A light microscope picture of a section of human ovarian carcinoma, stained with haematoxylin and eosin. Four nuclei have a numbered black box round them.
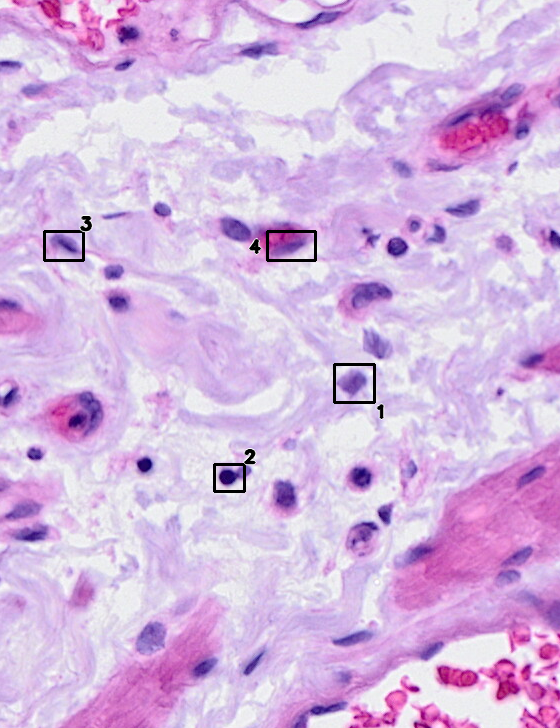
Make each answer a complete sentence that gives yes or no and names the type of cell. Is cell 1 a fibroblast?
Yes, in this section the cell with number 1 is a fibroblast.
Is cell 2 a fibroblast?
No, for cell 2, the correct identification is a lymphocyte instead of a fibroblast.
